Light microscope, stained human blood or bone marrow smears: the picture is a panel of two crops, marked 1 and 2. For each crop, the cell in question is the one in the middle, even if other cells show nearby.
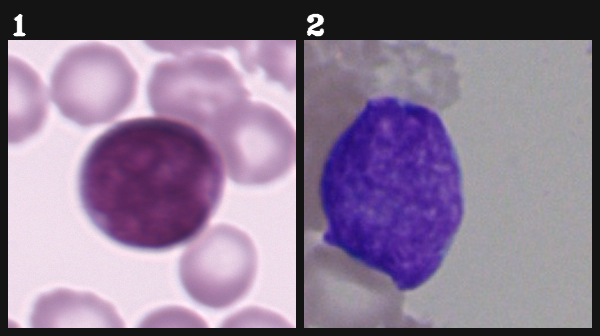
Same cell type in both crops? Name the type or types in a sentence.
Yes, both crops show blasts, and nothing else needs adding.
